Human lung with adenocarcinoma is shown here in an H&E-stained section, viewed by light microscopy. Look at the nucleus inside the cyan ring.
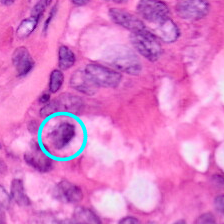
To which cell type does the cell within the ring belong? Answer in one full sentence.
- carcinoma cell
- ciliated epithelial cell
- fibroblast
In cell-type terms, the cell within the ring is a ciliated epithelial cell.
